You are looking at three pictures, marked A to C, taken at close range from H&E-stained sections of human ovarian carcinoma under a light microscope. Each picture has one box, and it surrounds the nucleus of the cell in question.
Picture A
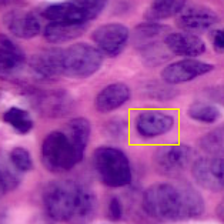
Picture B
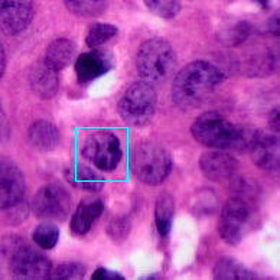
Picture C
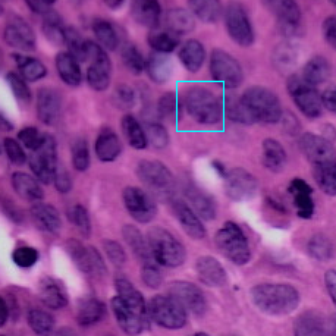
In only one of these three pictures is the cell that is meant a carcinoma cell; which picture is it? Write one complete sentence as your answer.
It is picture C that shows the carcinoma cell.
